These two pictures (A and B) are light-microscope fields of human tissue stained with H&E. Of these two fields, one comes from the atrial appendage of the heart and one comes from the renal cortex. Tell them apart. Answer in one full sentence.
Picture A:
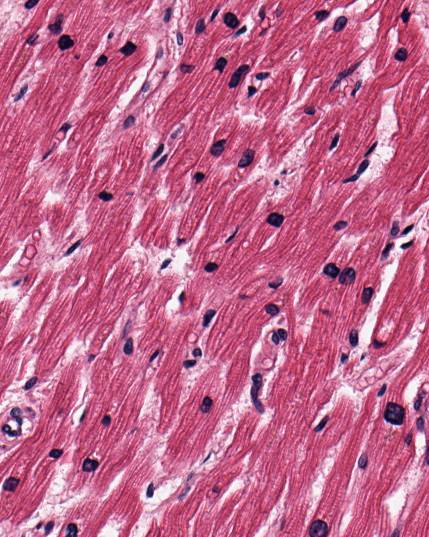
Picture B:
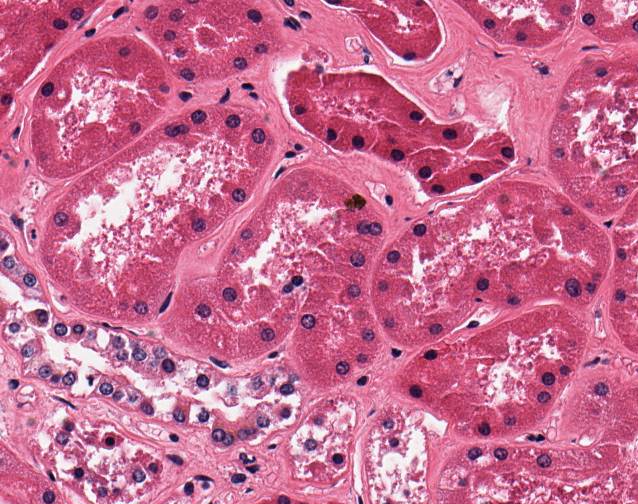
Picture A comes from the atrial appendage of the heart and picture B comes from the renal cortex.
